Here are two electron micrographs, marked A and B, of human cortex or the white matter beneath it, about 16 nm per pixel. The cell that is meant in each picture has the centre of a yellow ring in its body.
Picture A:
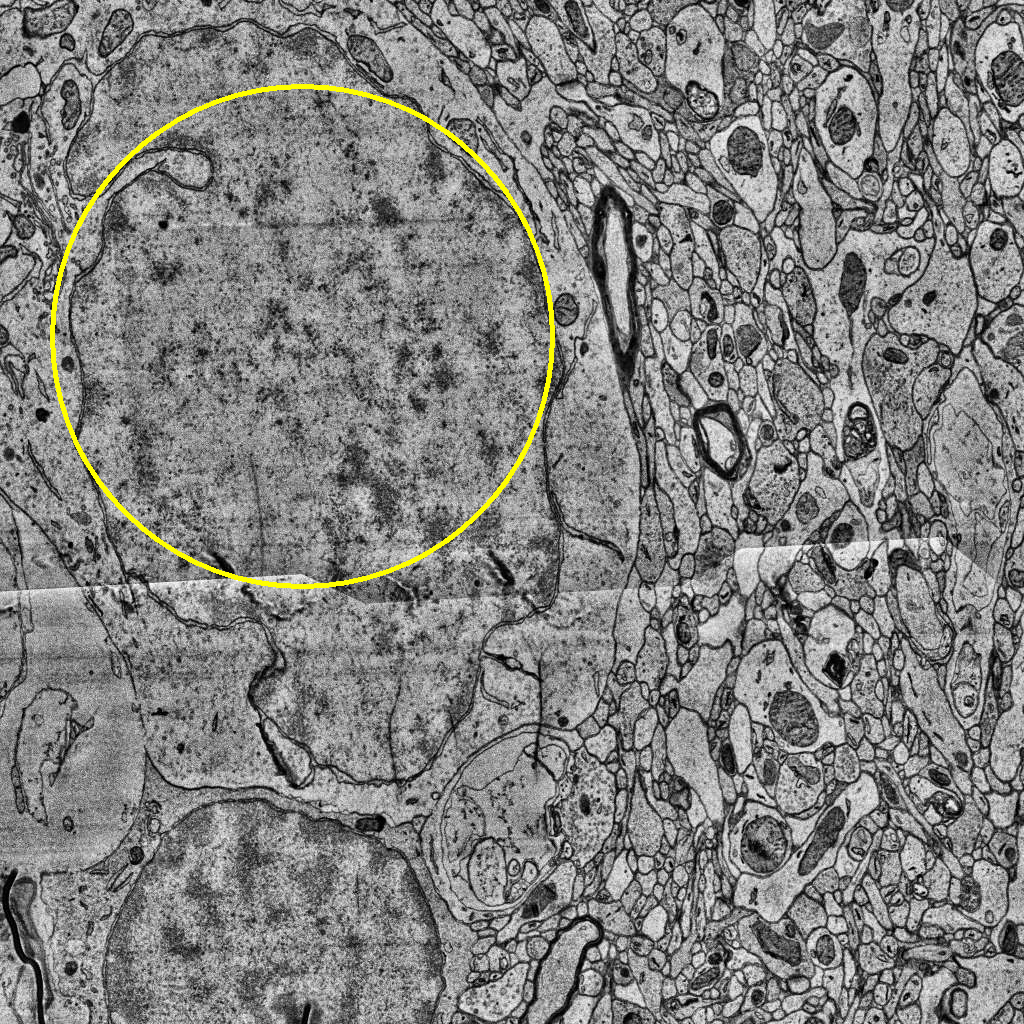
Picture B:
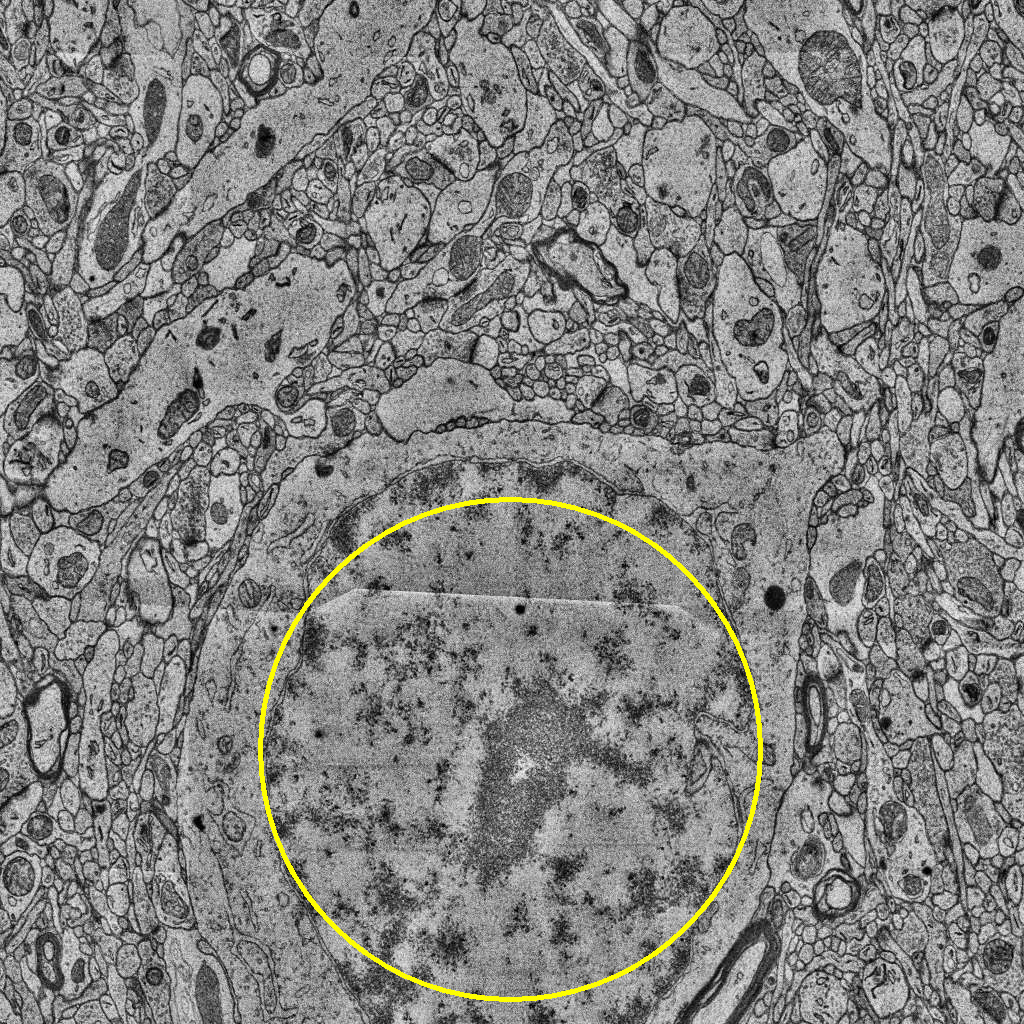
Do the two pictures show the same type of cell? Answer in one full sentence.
Yes, both cells are interneurons.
